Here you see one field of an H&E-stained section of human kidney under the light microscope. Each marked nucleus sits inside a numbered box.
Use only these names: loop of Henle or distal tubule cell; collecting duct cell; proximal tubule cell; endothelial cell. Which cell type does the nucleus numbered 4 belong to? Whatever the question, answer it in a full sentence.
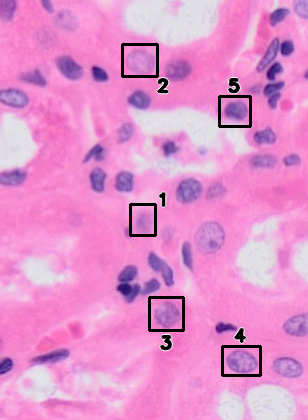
Nucleus 4 in this section belongs to a proximal tubule cell.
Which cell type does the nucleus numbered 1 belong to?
The numbered cell 1 in this field is a loop of Henle or distal tubule cell.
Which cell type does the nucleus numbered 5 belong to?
Cell 5, among those numbered, is a loop of Henle or distal tubule cell.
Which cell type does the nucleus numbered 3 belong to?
As for number 3, that cell is a proximal tubule cell.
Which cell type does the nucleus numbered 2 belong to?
The label 2 in this section denotes a proximal tubule cell.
